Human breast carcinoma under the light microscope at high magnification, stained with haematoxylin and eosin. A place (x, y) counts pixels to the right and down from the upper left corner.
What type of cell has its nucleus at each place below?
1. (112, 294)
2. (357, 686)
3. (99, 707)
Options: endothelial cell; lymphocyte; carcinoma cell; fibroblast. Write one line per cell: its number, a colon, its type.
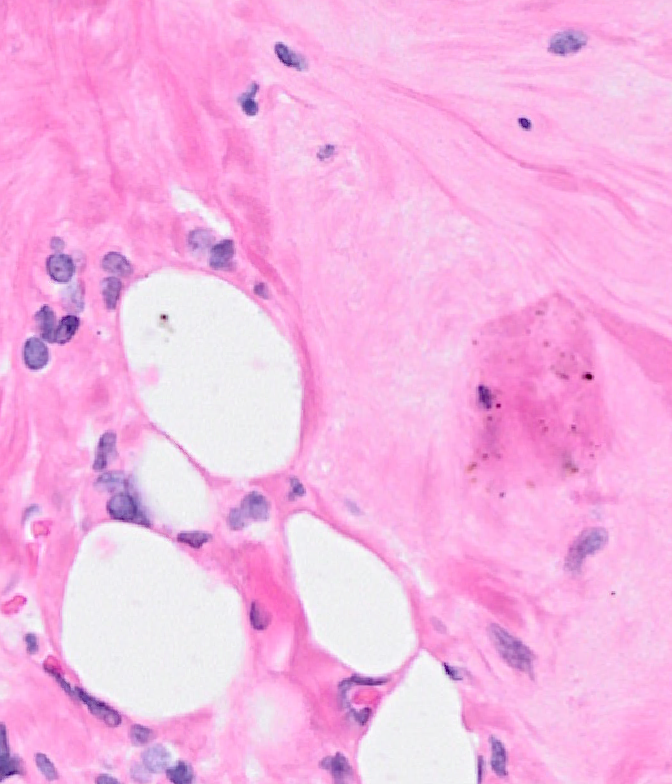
1: carcinoma cell
2: endothelial cell
3: endothelial cell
